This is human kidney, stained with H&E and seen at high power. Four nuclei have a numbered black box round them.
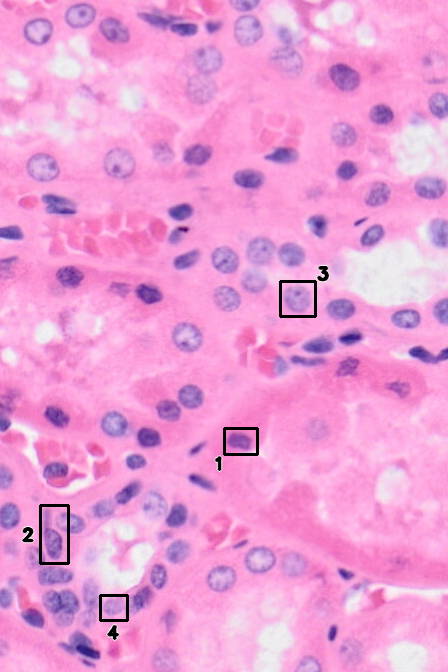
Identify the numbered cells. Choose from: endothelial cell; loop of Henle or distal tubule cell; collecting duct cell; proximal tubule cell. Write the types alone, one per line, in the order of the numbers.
proximal tubule cell
collecting duct cell
loop of Henle or distal tubule cell
collecting duct cell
